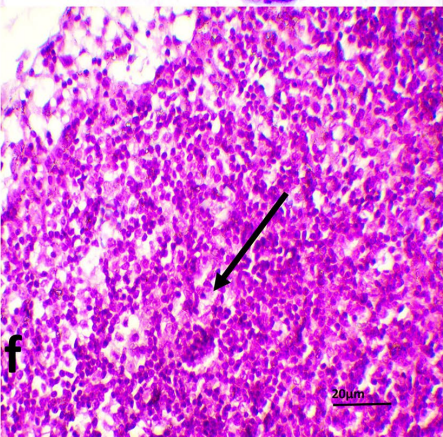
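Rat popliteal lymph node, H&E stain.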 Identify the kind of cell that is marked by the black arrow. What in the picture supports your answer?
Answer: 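The arrow points into a crowded field of small round cells. Nuclei are round and densely stained, cytoplasm is scant. On this evidence: lymphocytes.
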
